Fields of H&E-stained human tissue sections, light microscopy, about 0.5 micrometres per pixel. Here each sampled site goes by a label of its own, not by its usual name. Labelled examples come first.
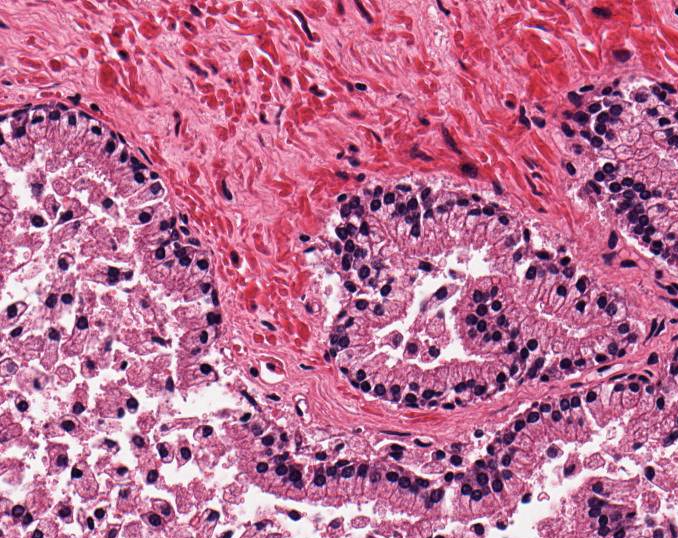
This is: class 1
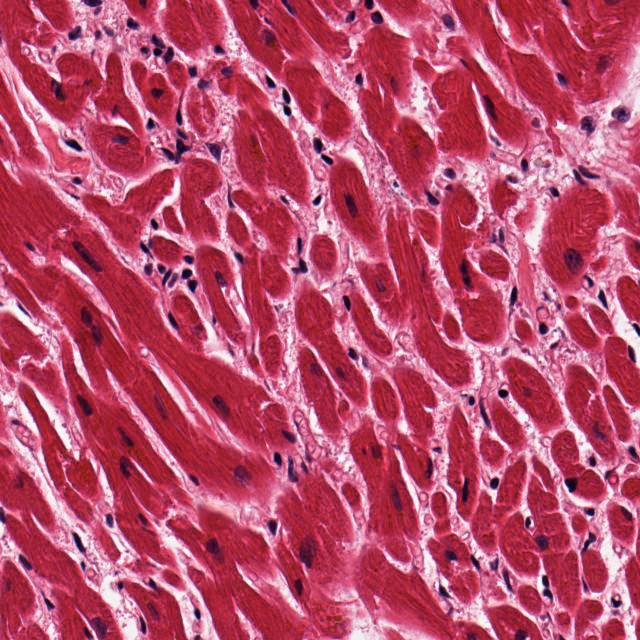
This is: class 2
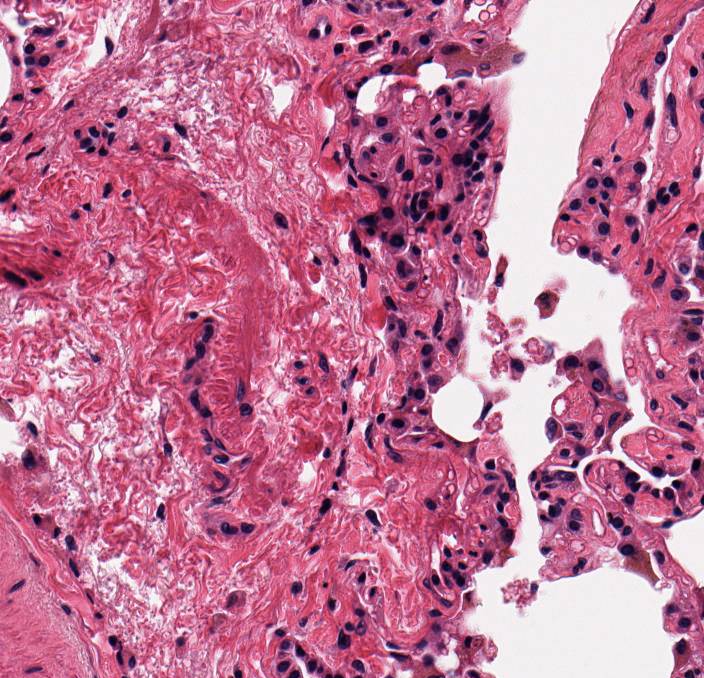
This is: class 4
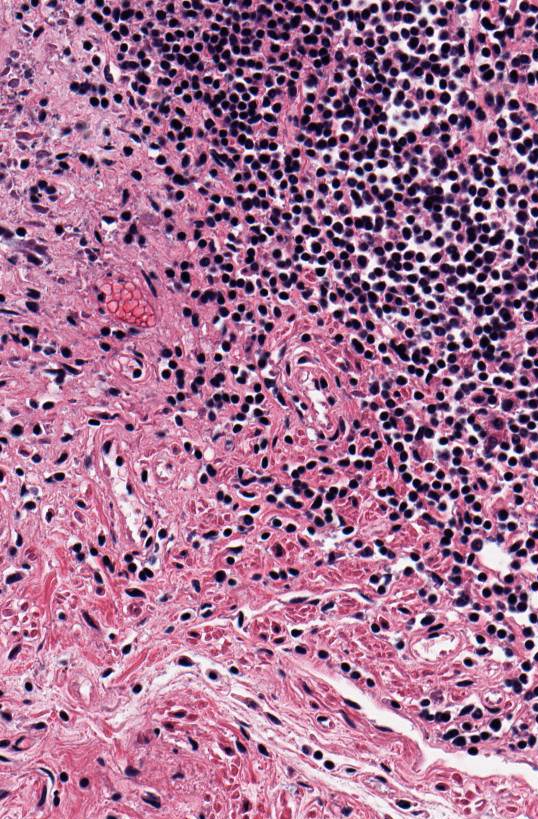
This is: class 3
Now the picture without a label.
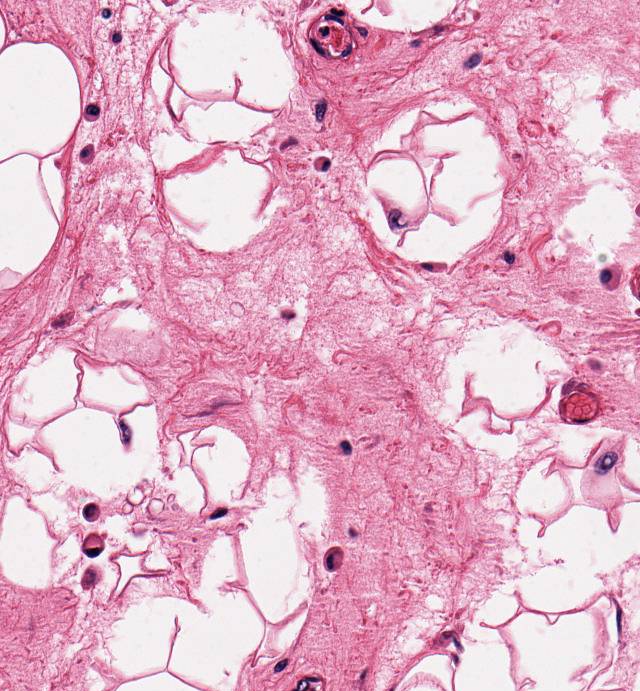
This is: class 2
